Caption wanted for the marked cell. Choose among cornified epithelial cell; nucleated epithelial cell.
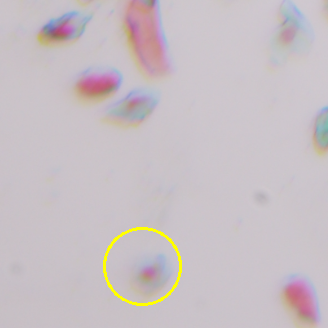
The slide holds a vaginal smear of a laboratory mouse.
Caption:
Ringed in yellow is a nucleated epithelial cell.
